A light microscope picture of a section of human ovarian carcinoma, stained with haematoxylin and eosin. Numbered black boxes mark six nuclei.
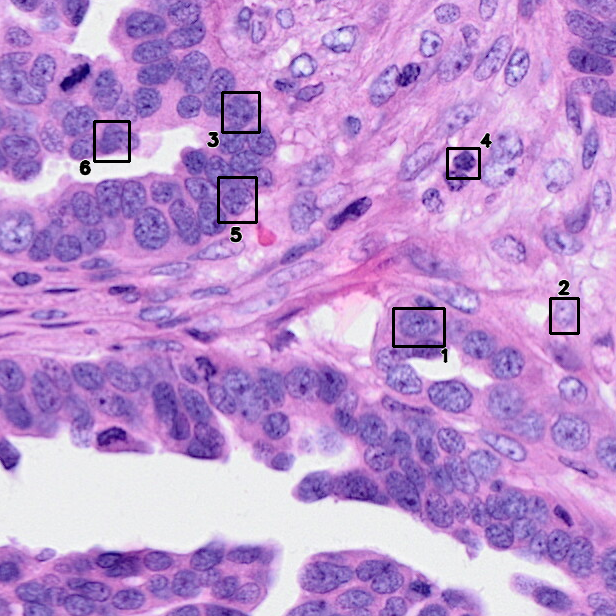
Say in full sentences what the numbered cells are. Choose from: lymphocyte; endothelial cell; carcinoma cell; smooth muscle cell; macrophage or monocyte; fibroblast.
Cells 1, 3, 5 and 6 are carcinoma cells. Cell 2 is a fibroblast. Cell 4 is a lymphocyte.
